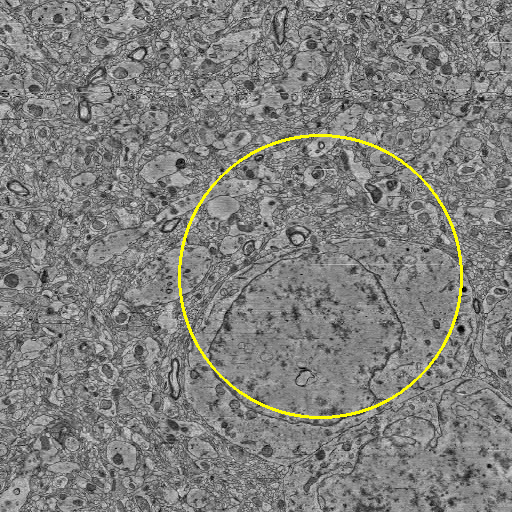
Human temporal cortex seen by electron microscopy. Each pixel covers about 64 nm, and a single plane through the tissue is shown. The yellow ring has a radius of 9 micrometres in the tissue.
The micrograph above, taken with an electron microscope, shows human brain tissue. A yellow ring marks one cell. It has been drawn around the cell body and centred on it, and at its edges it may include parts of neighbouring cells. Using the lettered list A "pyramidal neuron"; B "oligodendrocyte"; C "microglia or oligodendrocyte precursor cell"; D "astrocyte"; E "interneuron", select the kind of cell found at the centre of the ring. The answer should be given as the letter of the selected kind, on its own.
A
